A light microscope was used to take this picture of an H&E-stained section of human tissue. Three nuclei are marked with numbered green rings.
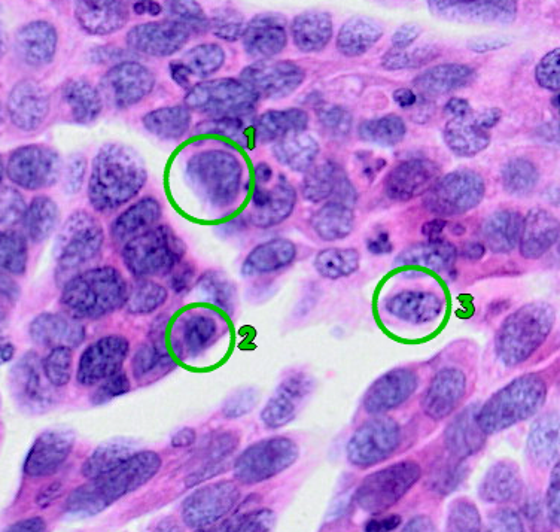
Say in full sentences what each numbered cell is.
Cell 1 is a carcinoma cell, cell 2 is a carcinoma cell and cell 3 is a macrophage or monocyte.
